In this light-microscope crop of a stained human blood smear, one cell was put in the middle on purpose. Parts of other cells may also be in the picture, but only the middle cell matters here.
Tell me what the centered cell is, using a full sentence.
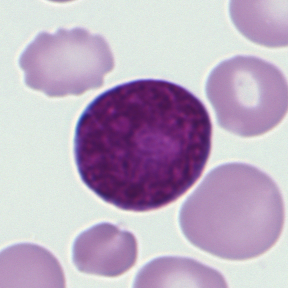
Occupying the centre of the crop is a myeloblast.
